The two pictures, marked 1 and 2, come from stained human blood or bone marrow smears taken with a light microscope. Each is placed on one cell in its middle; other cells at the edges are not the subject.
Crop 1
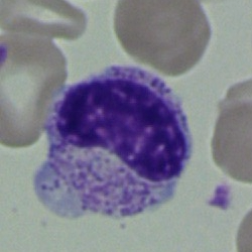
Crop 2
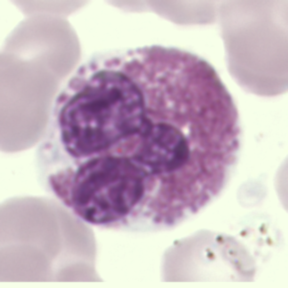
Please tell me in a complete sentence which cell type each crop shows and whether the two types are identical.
No, crop 1 holds a metamyelocyte, and an eosinophil occupies crop 2.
